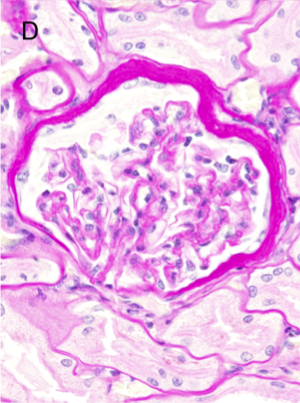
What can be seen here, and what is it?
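A glomerulus in kidney cortex is surrounded by a thick, strongly magenta Bowman's capsule, much wider than the thin magenta basement membranes of the adjacent tubules. Within the tuft, capillary loops are outlined by magenta-stained walls, with scattered nuclei among them. A clear urinary space separates the tuft from the capsule. Surrounding tubules have pale cytoplasm and thin magenta-outlined basement membranes.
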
